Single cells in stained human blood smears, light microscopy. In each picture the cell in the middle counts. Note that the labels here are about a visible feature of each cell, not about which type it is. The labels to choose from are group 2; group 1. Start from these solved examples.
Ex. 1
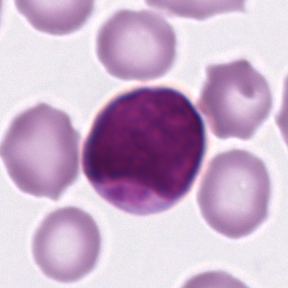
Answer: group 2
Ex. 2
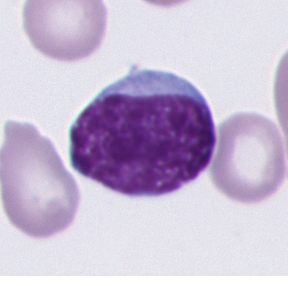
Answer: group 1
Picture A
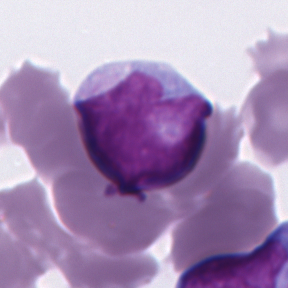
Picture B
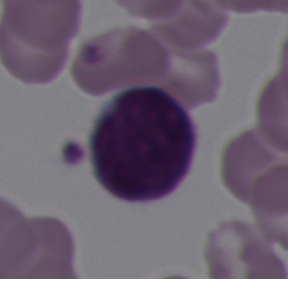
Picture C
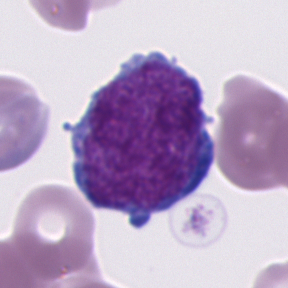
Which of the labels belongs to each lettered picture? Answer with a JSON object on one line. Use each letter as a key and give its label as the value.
{"A": "group 1", "B": "group 2", "C": "group 1"}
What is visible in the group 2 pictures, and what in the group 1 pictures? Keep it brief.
group 2, smooth outline; group 1, ragged outline or projections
